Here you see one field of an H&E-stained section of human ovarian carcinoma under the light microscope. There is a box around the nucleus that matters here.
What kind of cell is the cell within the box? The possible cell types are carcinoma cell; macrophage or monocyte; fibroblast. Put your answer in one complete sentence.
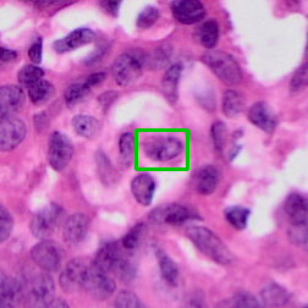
Right, so the cell within the box is a macrophage or monocyte, to answer that.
